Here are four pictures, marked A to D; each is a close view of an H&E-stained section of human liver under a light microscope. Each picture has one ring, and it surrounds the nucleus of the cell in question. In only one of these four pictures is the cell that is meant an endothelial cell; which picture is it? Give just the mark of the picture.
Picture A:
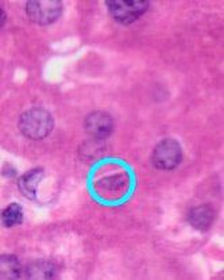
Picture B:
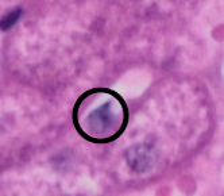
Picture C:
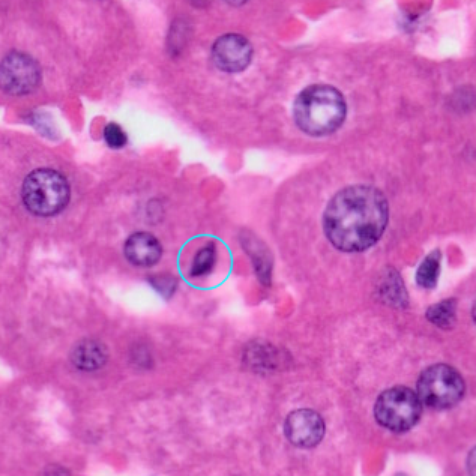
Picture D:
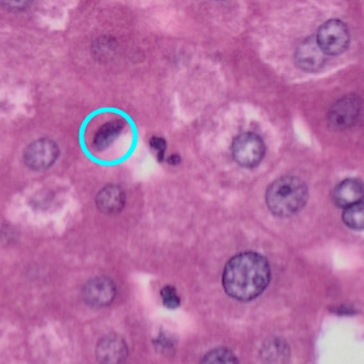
B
